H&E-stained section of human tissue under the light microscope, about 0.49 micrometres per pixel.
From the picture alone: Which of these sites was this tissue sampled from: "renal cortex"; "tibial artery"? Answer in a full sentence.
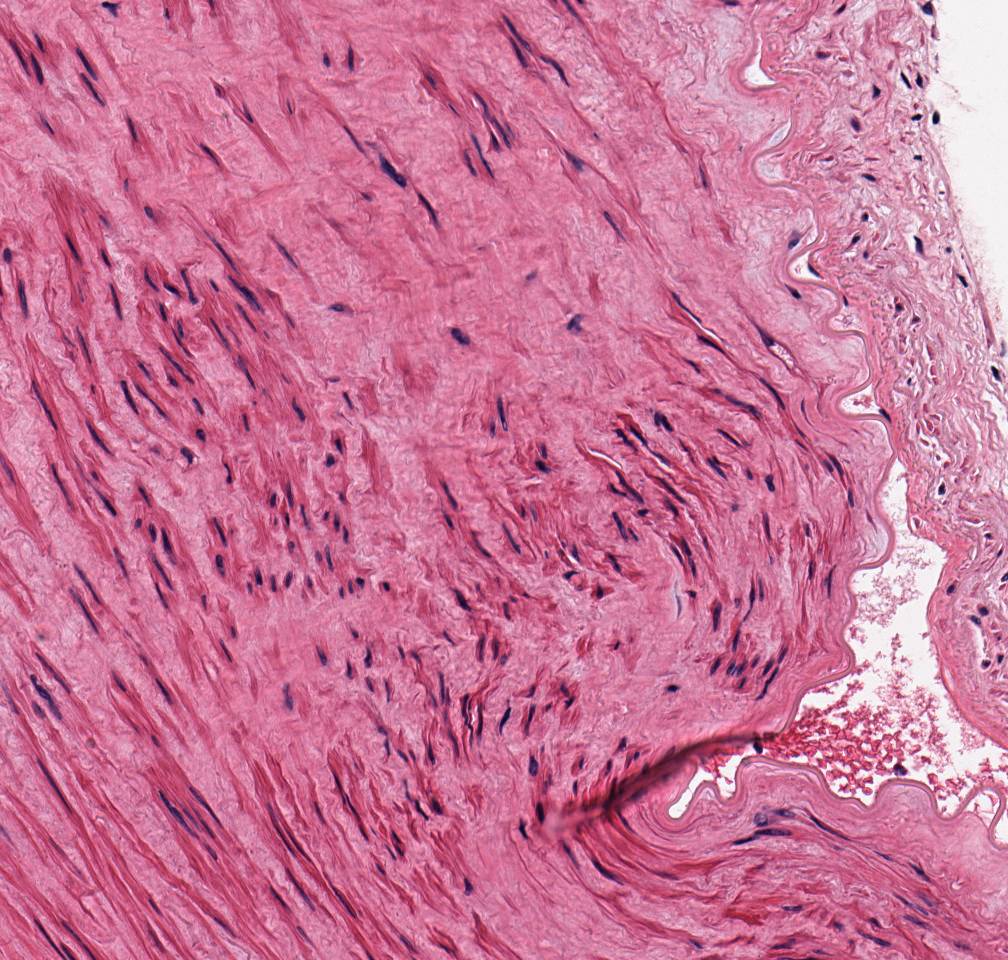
The site this tissue was sampled from is the tibial artery.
